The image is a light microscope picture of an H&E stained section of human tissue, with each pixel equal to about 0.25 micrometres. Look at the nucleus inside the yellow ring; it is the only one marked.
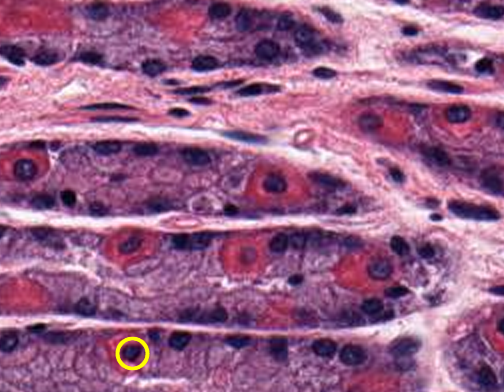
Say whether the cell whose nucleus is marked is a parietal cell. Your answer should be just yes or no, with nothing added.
yes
